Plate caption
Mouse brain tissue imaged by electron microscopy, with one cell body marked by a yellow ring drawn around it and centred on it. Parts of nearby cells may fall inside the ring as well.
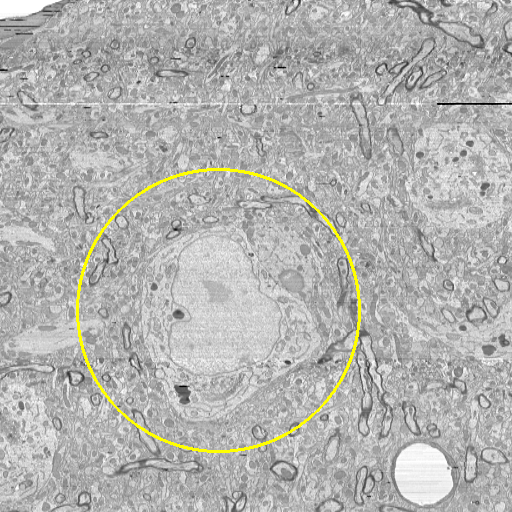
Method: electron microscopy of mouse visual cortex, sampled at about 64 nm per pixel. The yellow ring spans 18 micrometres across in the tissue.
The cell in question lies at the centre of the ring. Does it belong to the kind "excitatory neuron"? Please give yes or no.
No, it belongs to another kind.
